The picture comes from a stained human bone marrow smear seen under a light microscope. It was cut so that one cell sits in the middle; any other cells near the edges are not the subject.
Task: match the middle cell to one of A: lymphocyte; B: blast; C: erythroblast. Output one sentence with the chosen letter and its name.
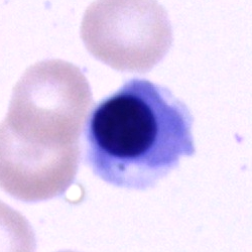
Correctly, option C names the cell in the middle an erythroblast.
